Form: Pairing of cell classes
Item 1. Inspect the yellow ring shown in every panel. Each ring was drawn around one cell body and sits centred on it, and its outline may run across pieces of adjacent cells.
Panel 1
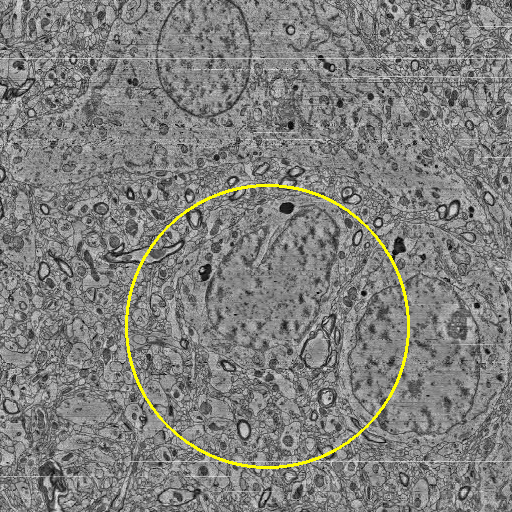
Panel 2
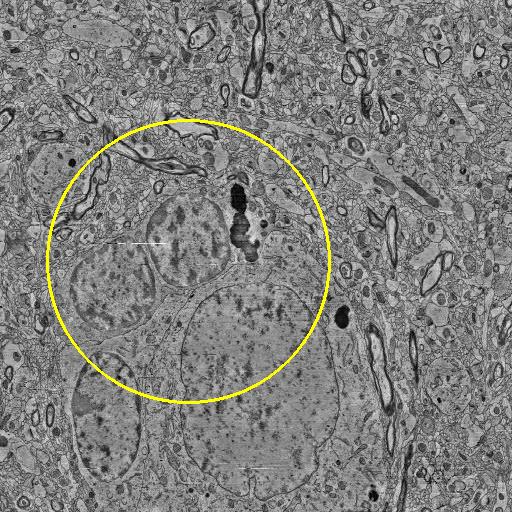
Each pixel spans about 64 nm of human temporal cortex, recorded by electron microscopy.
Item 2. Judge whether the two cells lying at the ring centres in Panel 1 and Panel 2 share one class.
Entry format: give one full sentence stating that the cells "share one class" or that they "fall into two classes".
The cells at the ring centres in Panel 1 and Panel 2 fall into two classes.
